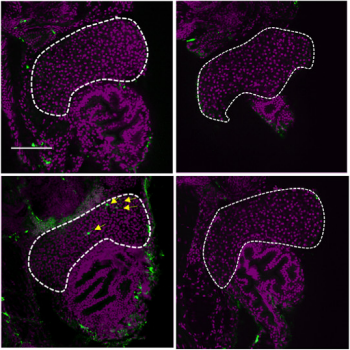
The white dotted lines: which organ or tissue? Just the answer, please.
Liver parenchyma.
